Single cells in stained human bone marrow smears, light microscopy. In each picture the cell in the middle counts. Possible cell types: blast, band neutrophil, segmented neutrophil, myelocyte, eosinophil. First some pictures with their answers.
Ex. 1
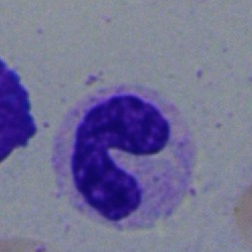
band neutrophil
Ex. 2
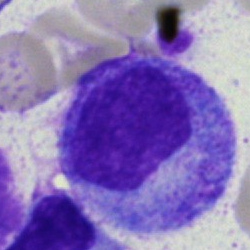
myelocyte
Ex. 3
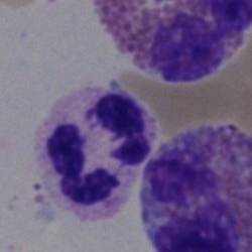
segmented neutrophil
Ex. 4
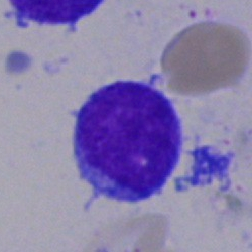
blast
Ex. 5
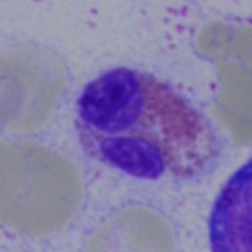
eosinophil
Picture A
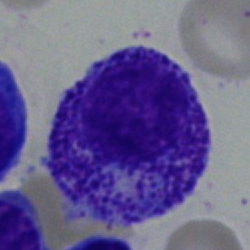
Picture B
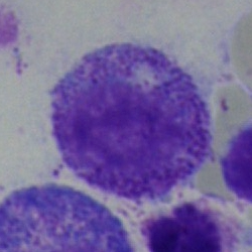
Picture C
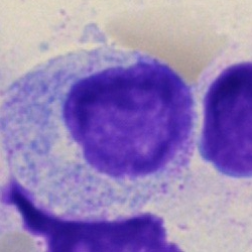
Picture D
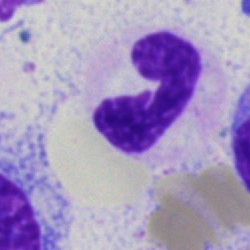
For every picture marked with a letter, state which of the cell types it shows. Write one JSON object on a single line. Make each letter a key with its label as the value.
{"A": "myelocyte", "B": "myelocyte", "C": "myelocyte", "D": "segmented neutrophil"}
